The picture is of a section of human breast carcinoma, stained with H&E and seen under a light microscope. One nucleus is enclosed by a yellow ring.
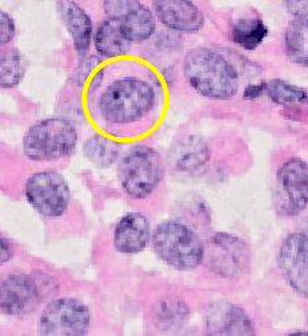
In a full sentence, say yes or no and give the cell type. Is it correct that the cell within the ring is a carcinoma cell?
Yes, it is accurate to say that the cell within the ring is a carcinoma cell.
